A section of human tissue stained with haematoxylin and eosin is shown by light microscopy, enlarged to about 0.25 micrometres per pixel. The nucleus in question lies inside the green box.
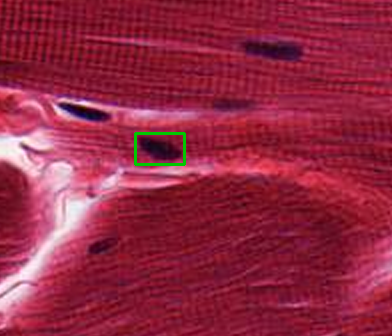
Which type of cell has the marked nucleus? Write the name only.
skeletal muscle fibre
